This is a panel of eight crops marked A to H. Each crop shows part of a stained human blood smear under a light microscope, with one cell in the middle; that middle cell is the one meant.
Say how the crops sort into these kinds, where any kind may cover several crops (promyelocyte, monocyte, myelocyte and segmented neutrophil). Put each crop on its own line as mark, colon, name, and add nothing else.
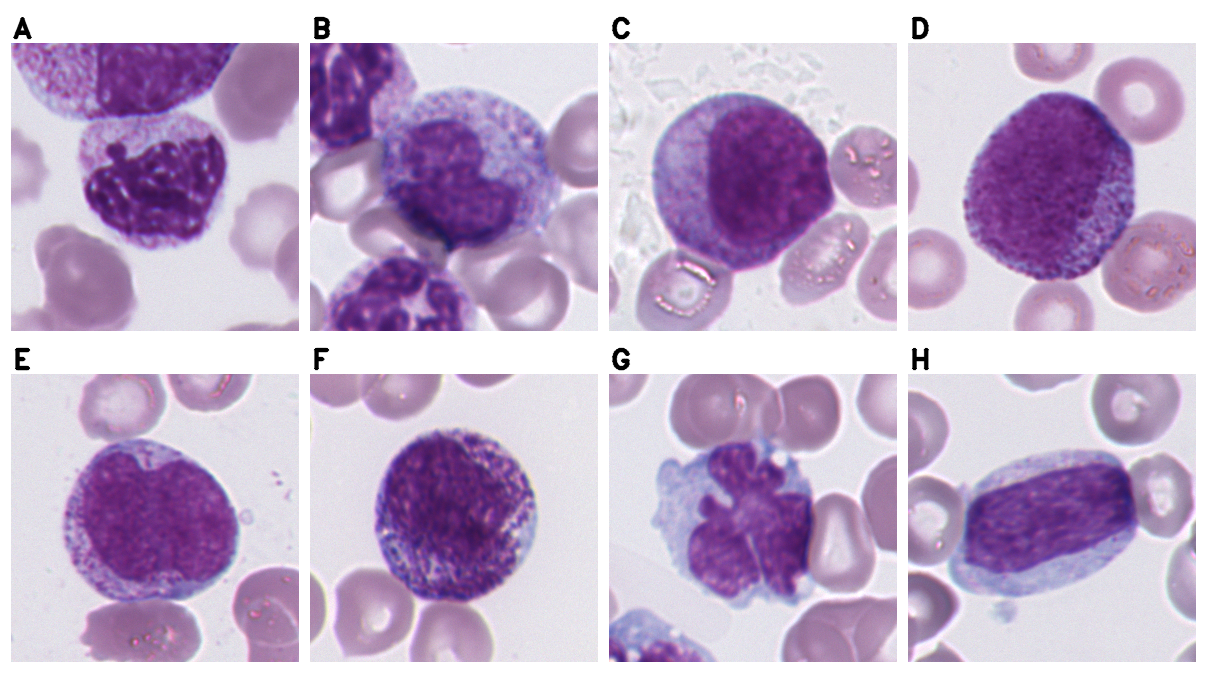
A: segmented neutrophil
B: myelocyte
C: promyelocyte
D: promyelocyte
E: promyelocyte
F: myelocyte
G: monocyte
H: myelocyte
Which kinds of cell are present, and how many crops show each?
myelocyte: 3
promyelocyte: 3
segmented neutrophil: 1
monocyte: 1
